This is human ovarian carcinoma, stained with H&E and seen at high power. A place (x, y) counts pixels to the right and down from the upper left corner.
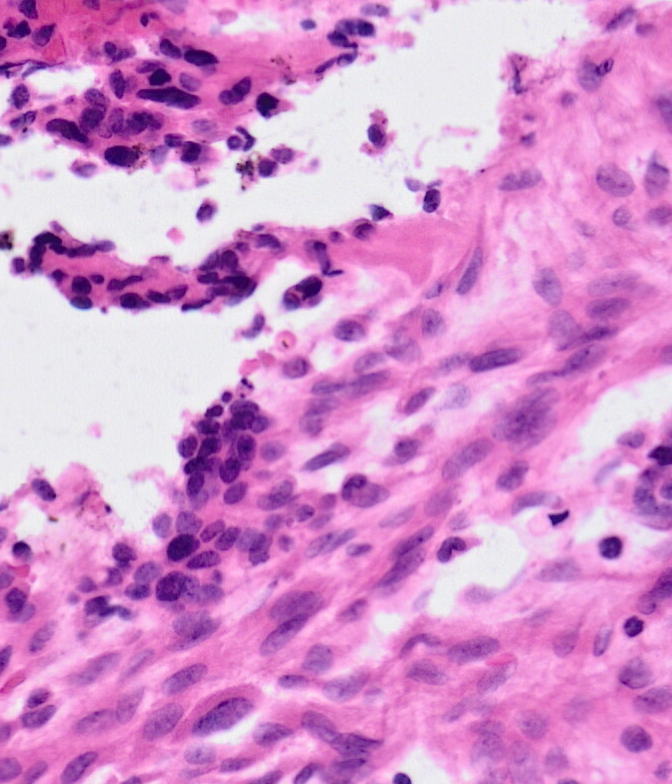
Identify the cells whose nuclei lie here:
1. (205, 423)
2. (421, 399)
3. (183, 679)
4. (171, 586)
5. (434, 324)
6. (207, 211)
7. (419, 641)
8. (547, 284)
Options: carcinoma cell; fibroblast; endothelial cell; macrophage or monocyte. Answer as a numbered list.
1. carcinoma cell
2. fibroblast
3. fibroblast
4. carcinoma cell
5. fibroblast
6. carcinoma cell
7. fibroblast
8. fibroblast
